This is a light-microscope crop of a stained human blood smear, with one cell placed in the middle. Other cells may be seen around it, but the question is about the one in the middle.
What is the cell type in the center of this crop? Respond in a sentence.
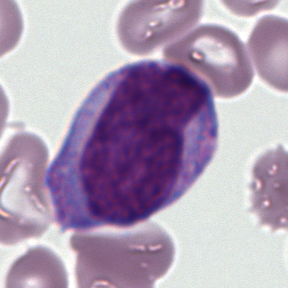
Among the cells in view, the one in the middle is an atypical promyelocyte.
